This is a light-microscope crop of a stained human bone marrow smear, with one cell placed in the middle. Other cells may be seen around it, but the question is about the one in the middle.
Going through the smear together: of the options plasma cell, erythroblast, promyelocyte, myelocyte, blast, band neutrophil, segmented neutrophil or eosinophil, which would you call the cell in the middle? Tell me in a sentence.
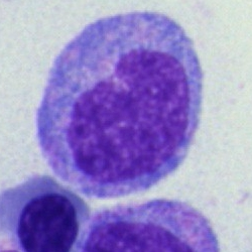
In the centre of this crop there is a promyelocyte.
